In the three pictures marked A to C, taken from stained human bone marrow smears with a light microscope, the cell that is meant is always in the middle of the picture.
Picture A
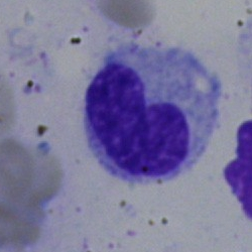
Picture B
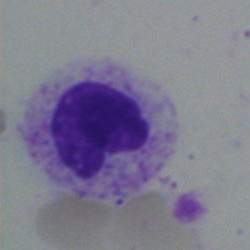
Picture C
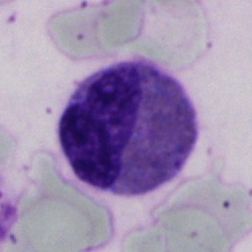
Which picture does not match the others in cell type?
C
